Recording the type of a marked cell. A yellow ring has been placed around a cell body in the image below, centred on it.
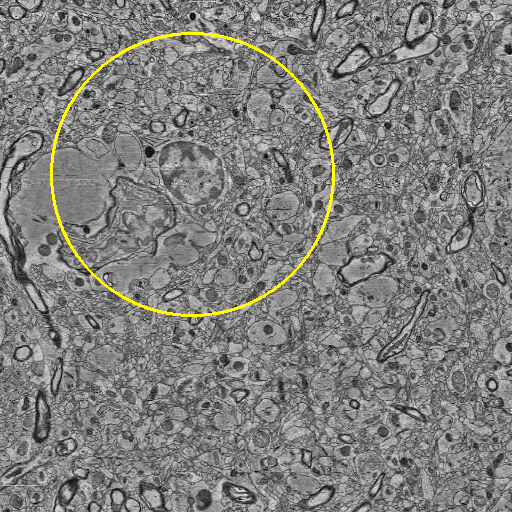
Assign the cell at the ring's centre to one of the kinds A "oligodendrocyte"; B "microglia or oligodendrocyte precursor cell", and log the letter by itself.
B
